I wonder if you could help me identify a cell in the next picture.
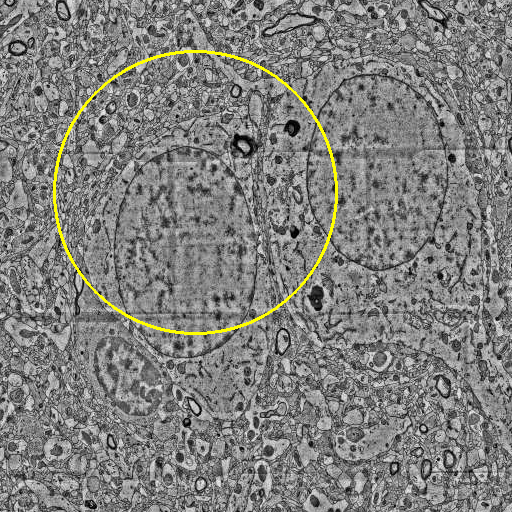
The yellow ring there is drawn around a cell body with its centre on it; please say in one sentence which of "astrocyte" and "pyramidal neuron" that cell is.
The yellow ring is centred on a pyramidal neuron.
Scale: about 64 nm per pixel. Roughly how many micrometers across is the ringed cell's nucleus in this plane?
The nucleus works out at approximately 13 by 9 micrometres in this plane.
